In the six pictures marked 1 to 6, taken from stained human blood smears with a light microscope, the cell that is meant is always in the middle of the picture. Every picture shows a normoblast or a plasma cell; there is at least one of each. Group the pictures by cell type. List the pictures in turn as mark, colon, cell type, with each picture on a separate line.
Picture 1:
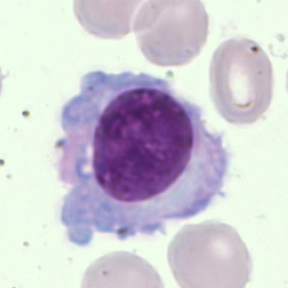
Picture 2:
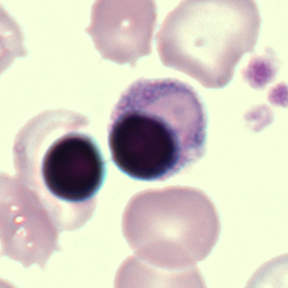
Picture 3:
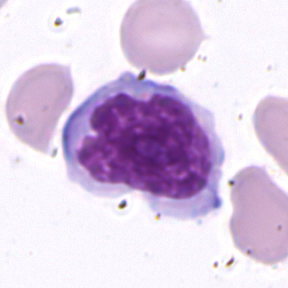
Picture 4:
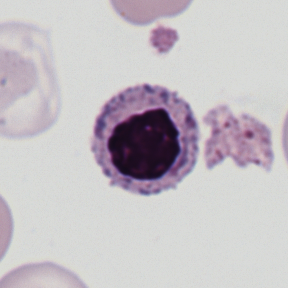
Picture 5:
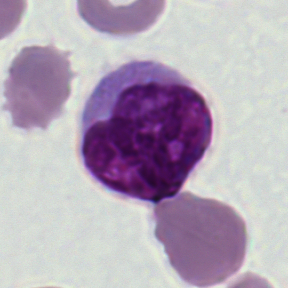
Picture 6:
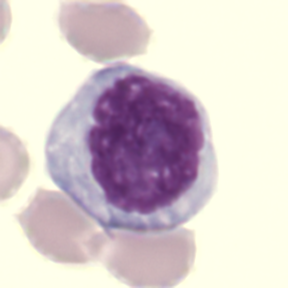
1: plasma cell
2: normoblast
3: plasma cell
4: normoblast
5: plasma cell
6: plasma cell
